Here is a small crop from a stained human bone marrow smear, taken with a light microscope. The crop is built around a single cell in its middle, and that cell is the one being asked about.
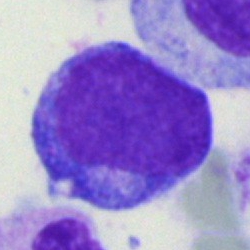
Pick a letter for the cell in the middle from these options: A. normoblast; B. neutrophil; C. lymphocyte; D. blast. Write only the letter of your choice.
D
